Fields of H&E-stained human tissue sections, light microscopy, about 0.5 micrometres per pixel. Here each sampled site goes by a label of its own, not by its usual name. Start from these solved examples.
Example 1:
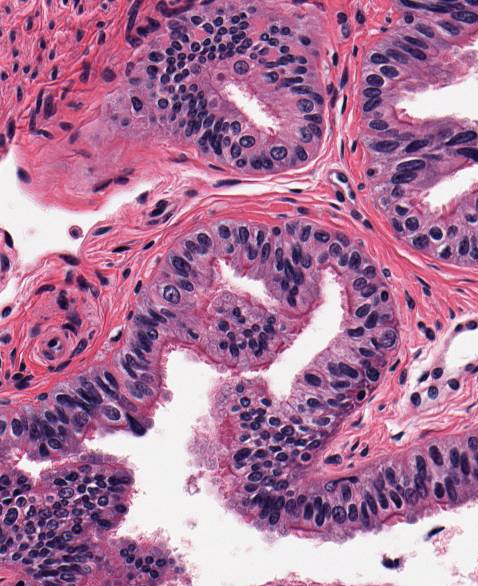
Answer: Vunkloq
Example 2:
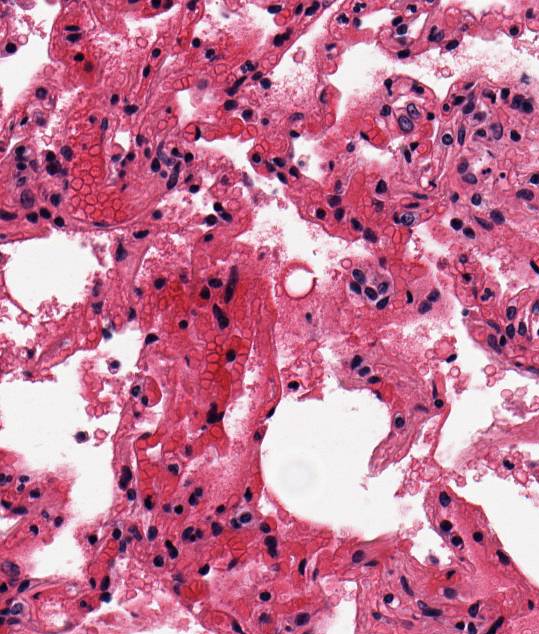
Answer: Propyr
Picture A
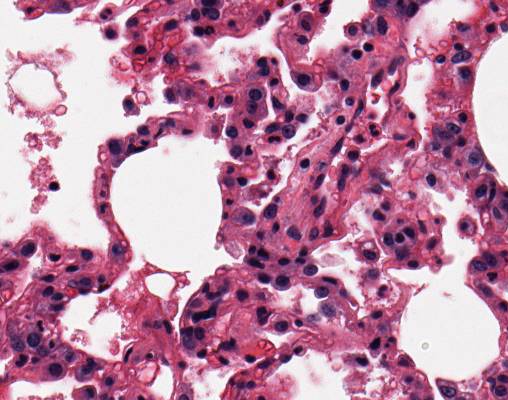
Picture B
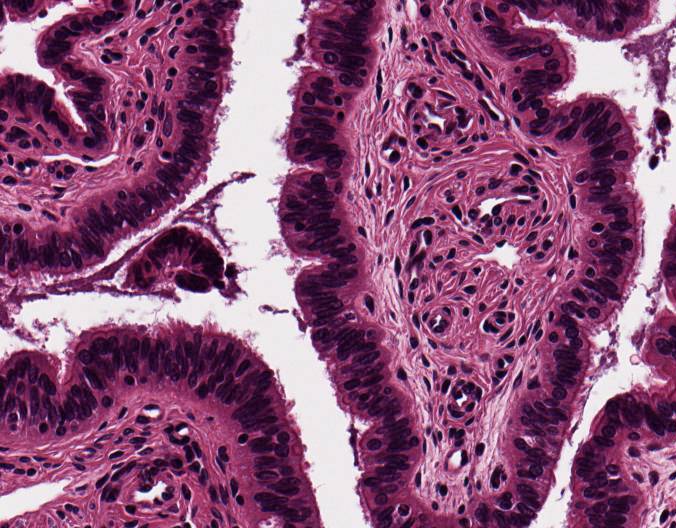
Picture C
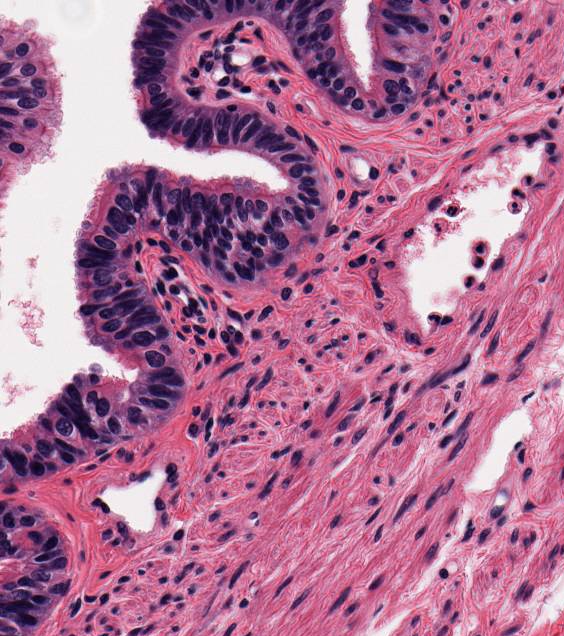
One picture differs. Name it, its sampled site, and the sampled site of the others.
A differs and shows Propyr; the others show Vunkloq.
